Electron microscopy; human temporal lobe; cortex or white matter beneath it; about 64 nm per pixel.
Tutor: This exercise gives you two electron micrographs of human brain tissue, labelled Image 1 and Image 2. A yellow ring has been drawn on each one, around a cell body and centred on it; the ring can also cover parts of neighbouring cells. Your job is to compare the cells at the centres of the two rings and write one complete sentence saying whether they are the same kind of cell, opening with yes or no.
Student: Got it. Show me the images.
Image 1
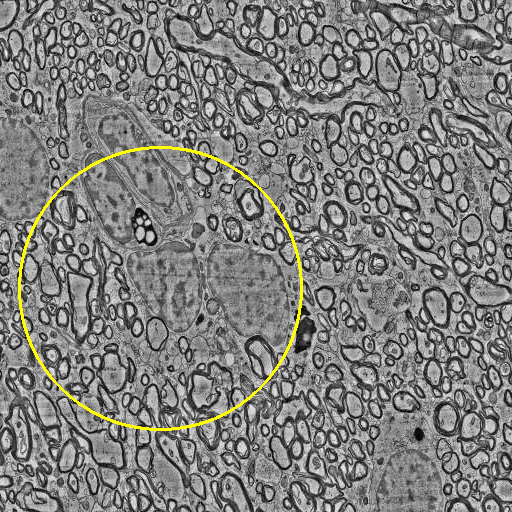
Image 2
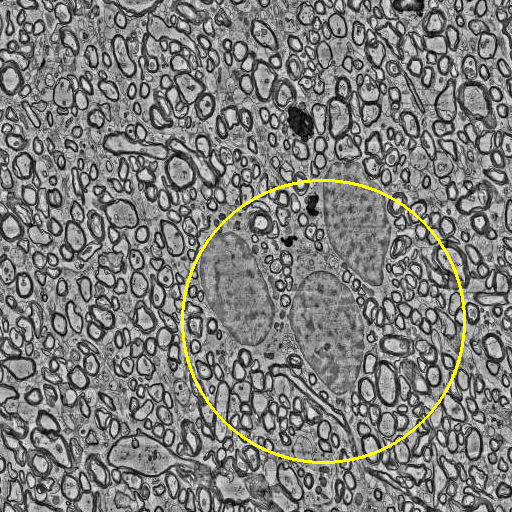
No, the two cells belong to two kinds.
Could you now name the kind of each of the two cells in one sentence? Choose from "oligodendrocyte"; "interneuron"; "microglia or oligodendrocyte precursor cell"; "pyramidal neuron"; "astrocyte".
The first ring encloses a microglial cell or oligodendrocyte precursor cell; the second ring encloses an oligodendrocyte.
